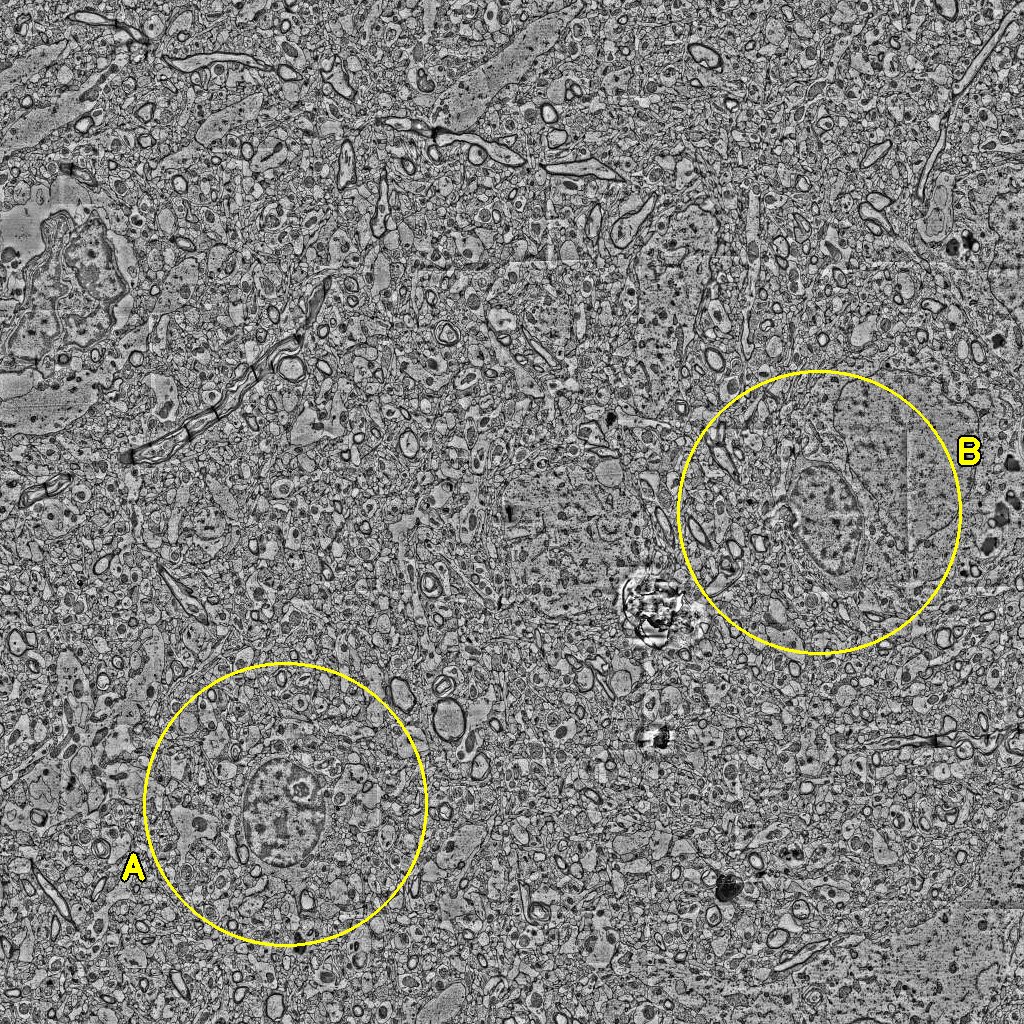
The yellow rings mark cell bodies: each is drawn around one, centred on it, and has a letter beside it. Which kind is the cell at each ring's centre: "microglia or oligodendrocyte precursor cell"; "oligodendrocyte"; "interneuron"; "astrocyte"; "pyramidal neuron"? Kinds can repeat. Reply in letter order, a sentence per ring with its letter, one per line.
At the centre of ring A lies an oligodendrocyte.
At the centre of ring B lies an oligodendrocyte.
